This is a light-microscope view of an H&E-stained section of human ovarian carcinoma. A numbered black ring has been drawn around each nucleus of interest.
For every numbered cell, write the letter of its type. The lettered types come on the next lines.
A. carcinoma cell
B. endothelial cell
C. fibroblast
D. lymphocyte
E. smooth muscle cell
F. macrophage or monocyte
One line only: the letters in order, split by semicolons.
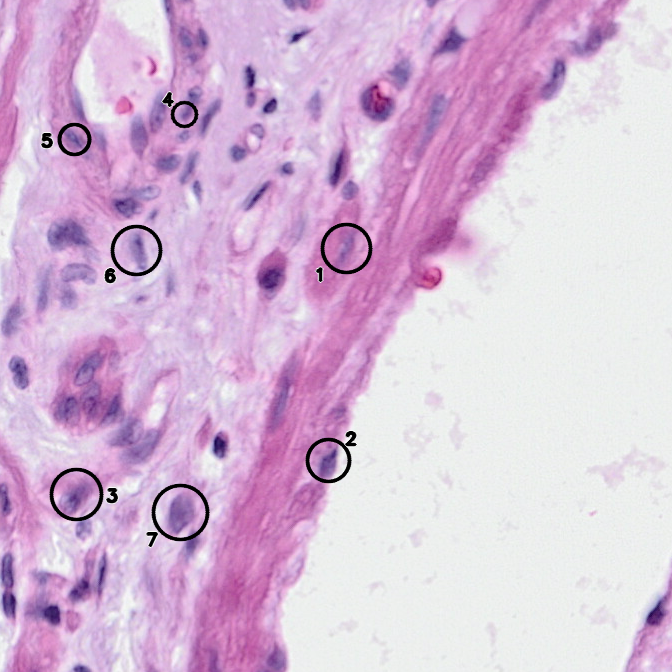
E; B; B; E; E; C; C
